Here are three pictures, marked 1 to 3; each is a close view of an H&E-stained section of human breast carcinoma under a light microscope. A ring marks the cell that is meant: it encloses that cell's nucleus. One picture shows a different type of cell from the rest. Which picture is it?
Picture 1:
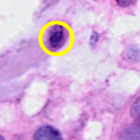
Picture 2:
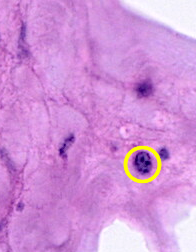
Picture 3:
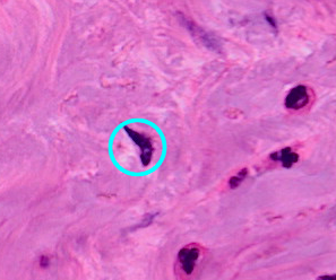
3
